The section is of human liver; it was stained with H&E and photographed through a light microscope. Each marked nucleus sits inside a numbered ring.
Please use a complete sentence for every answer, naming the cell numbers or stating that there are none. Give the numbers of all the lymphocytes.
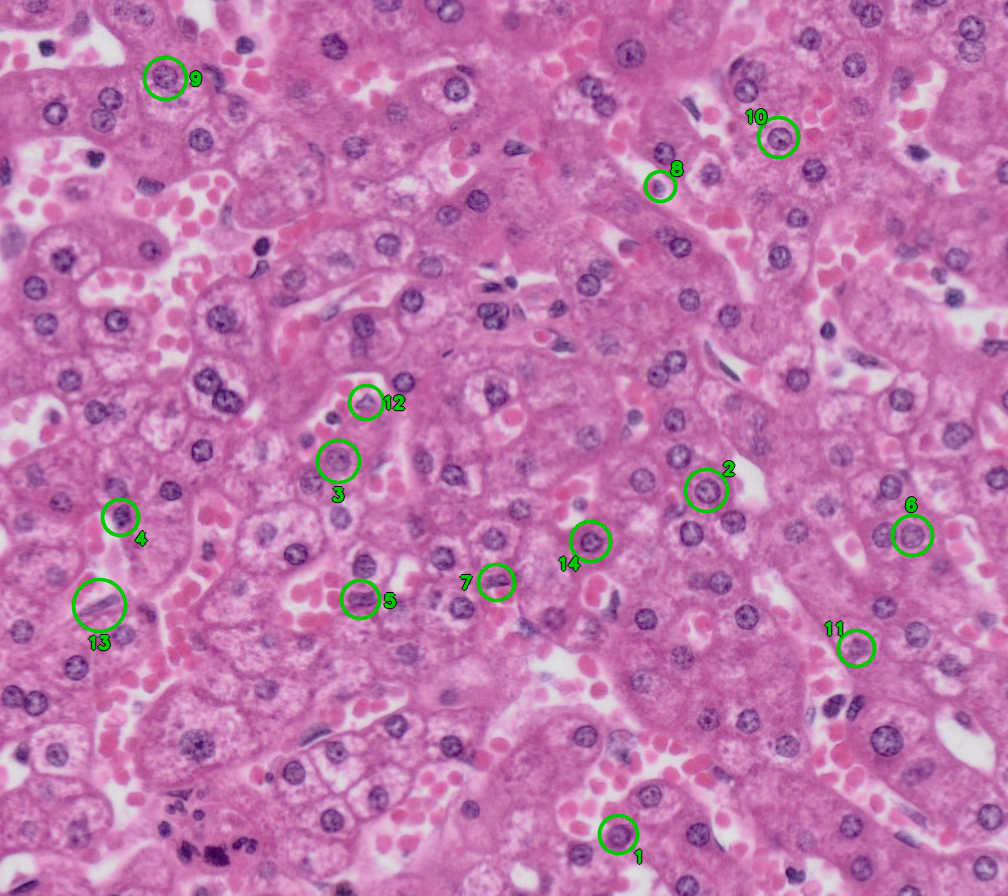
Only the cell with the number 8 is a lymphocyte.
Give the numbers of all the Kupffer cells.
The cells picked out by numbers 12 and 13 are Kupffer cells.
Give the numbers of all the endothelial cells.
Cell 7 is an endothelial cell; no further numbered cell is.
